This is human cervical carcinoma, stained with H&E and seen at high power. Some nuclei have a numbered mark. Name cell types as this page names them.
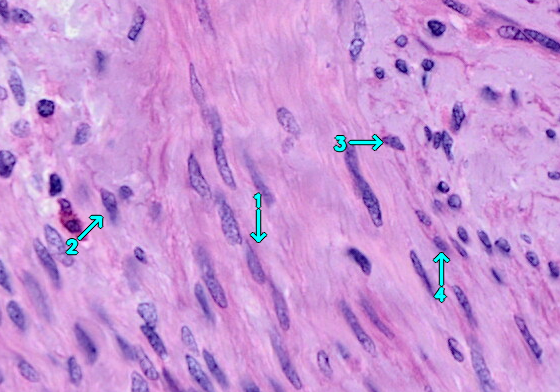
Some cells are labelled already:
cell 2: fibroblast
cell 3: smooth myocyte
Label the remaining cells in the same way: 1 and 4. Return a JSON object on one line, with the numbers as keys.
{"1": "smooth myocyte", "4": "smooth myocyte"}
